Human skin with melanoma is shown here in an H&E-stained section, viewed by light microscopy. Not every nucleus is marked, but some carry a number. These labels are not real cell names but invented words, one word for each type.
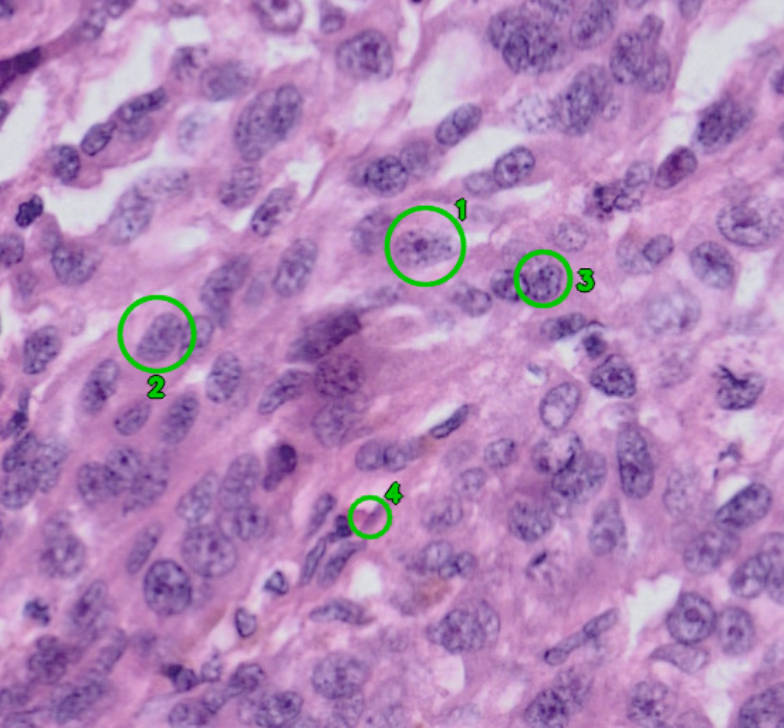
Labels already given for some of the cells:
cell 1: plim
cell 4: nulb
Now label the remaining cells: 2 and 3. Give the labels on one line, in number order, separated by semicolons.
plim; plim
